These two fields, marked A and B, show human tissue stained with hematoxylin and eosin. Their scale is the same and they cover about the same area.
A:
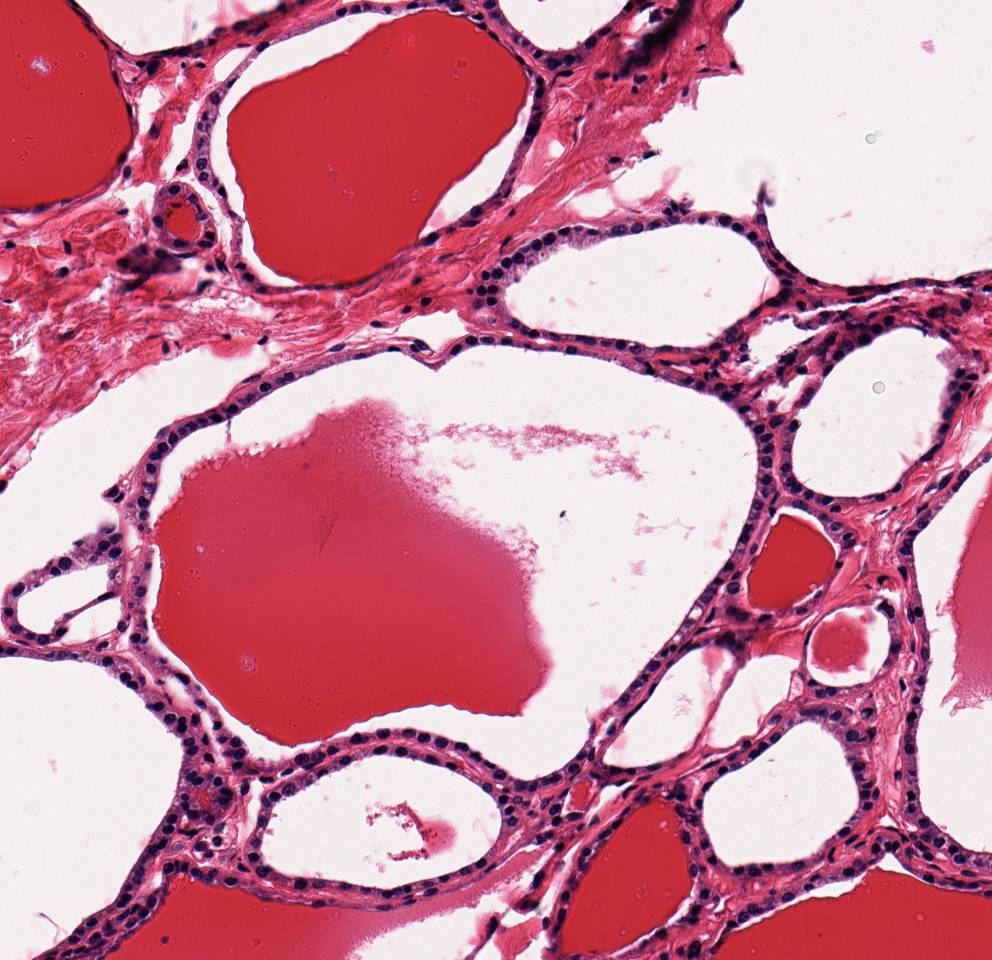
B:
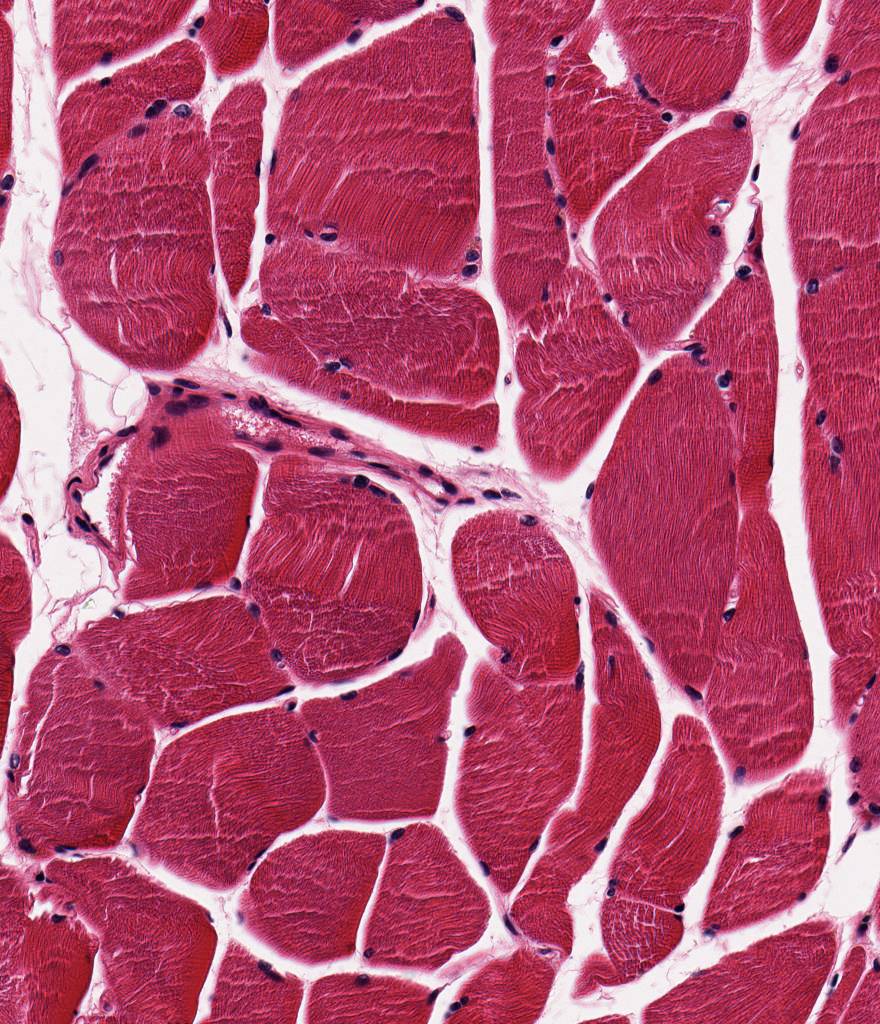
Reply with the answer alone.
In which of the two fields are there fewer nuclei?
B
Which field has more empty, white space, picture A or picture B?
A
